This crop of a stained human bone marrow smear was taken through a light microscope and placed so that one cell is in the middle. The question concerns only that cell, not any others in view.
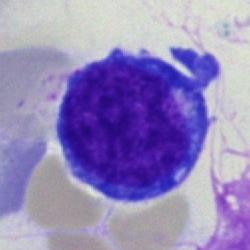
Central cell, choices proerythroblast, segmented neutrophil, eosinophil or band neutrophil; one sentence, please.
Within this crop, a proerythroblast occupies the central position.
